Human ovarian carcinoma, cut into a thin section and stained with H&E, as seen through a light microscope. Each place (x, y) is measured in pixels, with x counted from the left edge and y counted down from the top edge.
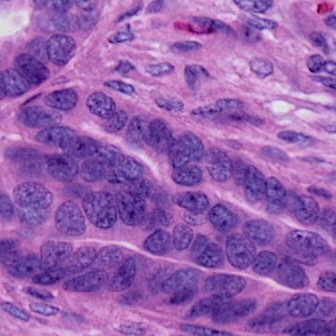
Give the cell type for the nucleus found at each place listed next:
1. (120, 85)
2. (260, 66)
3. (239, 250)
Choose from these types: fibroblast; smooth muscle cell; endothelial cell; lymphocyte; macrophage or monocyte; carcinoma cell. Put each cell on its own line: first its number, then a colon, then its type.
1: fibroblast
2: fibroblast
3: carcinoma cell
